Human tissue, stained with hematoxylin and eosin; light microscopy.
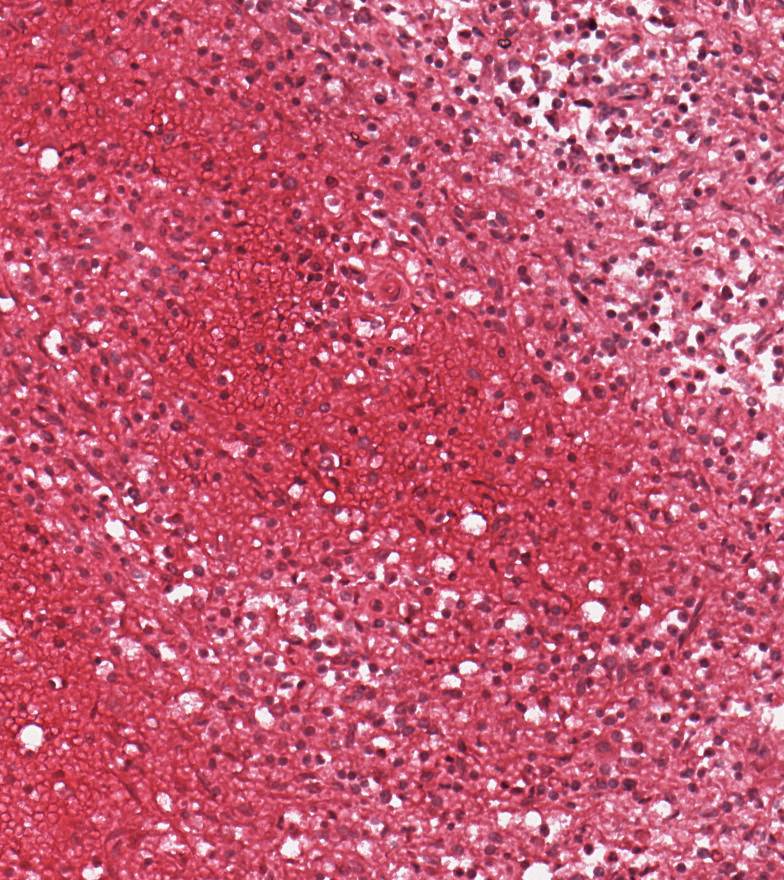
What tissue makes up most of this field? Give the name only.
red pulp of the spleen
